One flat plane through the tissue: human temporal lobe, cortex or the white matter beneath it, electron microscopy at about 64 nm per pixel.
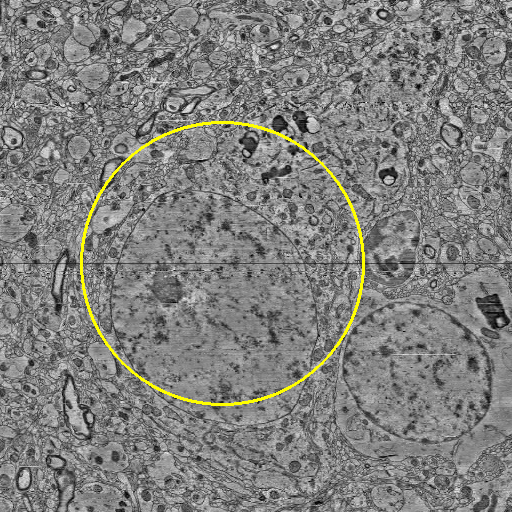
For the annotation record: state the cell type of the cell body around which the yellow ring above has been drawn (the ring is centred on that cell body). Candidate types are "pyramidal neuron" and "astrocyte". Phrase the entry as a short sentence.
The ringed cell is a pyramidal neuron.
